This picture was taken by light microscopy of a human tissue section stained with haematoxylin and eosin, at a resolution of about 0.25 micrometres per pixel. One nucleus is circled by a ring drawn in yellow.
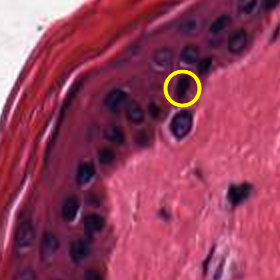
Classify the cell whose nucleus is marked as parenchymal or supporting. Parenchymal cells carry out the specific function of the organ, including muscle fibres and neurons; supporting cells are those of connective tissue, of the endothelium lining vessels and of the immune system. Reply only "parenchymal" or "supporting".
parenchymal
